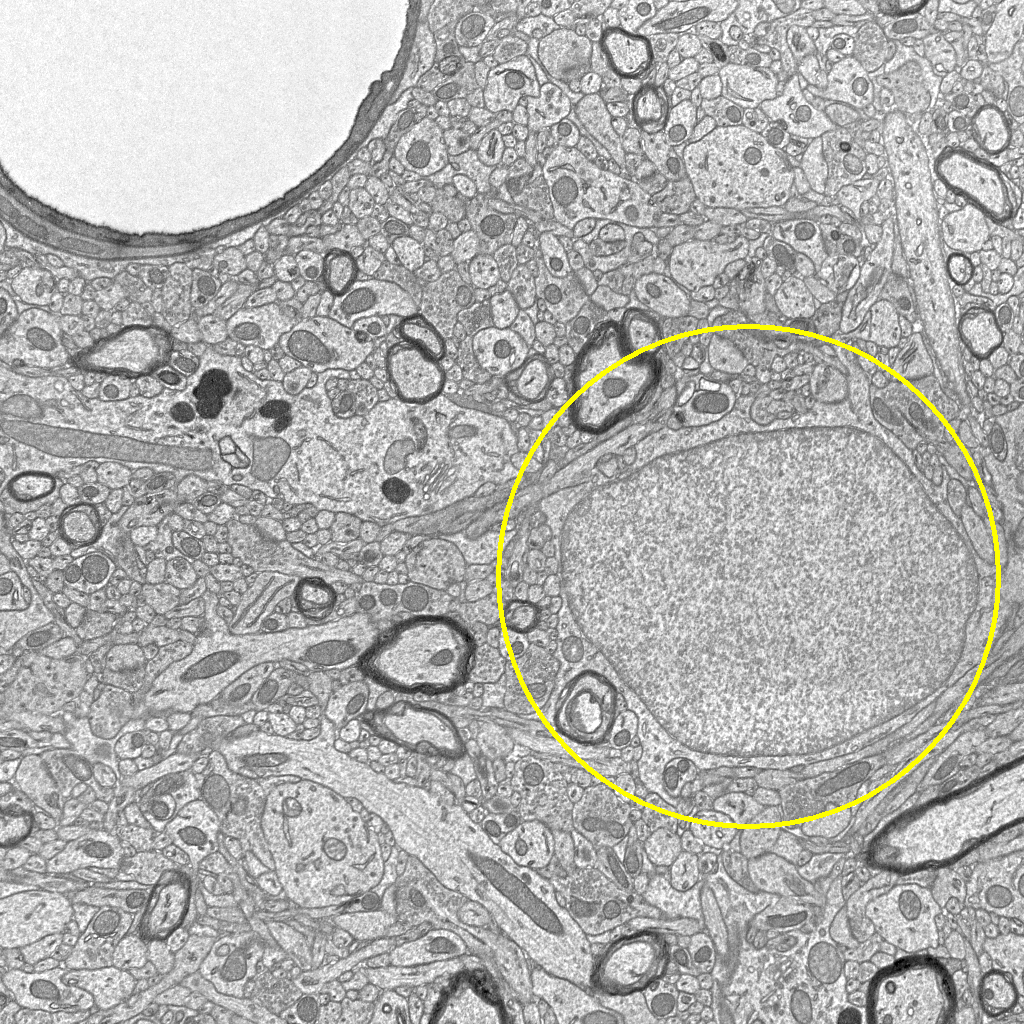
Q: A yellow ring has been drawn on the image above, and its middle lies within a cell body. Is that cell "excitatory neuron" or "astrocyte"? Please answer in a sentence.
The ring's middle lies in the cell body of an astrocyte.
